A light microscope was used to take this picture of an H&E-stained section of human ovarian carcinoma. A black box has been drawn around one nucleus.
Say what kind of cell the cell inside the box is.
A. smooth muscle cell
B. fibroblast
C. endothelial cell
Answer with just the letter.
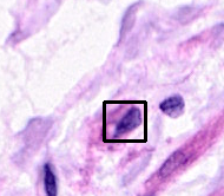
C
